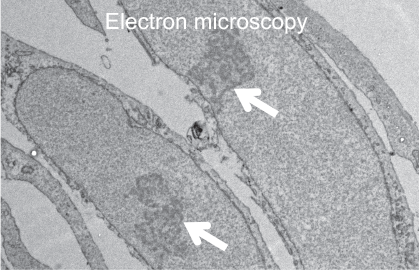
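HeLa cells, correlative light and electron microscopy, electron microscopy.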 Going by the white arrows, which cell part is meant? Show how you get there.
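Nucleolus. Arrows point at denser, darker grey patches. The patches lie within large, evenly granular oval compartments bounded by membrane.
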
